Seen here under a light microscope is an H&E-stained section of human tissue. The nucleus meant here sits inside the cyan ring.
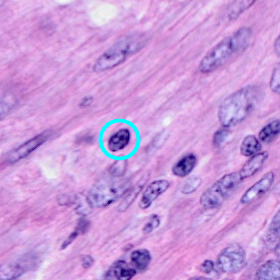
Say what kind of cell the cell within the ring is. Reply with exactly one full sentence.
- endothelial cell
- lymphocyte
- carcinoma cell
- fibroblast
Labelled by cell type, the cell within the ring is a lymphocyte.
